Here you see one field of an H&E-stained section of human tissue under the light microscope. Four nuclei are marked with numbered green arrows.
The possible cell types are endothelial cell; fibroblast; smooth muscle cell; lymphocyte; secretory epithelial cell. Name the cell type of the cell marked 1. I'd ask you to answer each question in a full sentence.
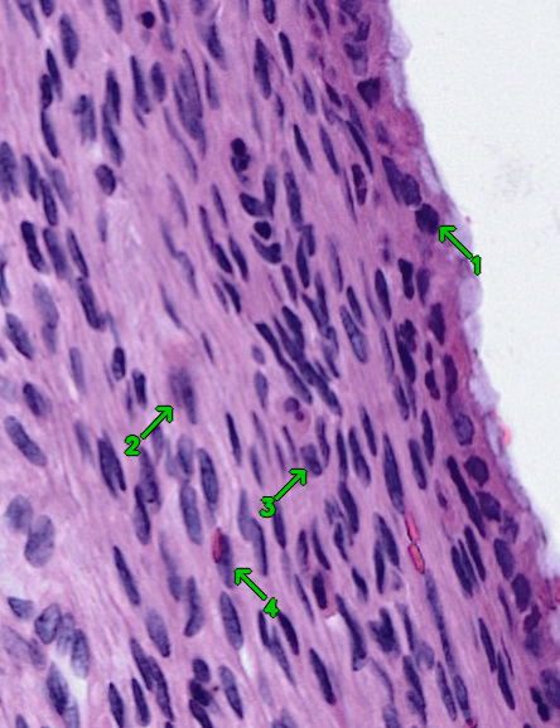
Number 1 among the marked cells is a secretory epithelial cell.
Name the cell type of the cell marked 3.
Number 3 among the marked cells is a fibroblast.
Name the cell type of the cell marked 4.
The cell numbered 4 has been identified as an endothelial cell.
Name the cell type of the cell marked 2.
The cell pointed out as number 2 is an endothelial cell.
